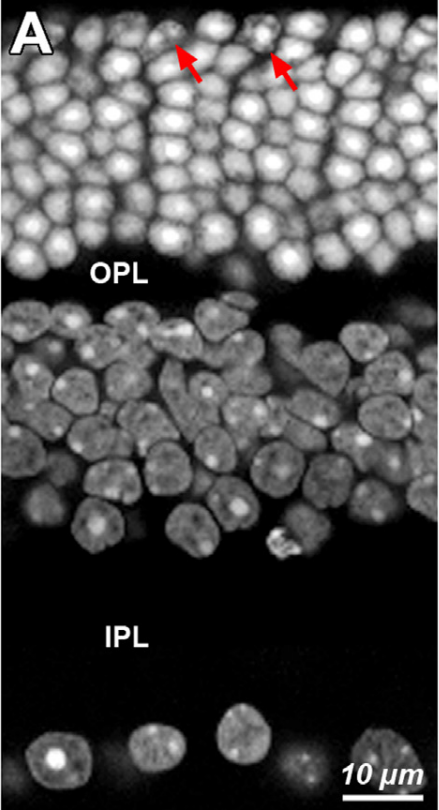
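This section of retina shows its nuclear layers separated by nucleus-free plexiform bands. The outer nuclear layer is crowded with small, round nuclei of rod photoreceptors, each with one bright central clump of chromatin, while a few nuclei near its top, of cones, show several smaller clumps instead. Below a thin nucleus-free band, the inner nuclear layer holds larger, oval, paler nuclei with more evenly spread chromatin and small bright spots. A wide nucleus-free inner plexiform layer separates these from a single row of large, pale ganglion cell nuclei at the bottom.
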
